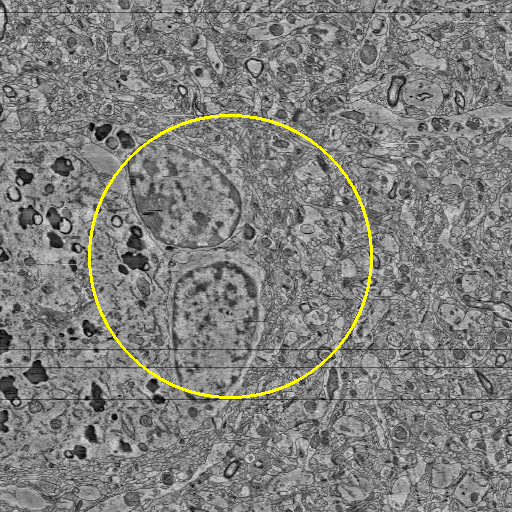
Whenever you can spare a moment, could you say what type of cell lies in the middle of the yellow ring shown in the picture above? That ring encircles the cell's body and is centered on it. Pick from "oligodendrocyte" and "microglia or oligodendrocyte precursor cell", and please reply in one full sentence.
The cell whose body sits at the middle of the yellow ring is a microglial cell or oligodendrocyte precursor cell.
